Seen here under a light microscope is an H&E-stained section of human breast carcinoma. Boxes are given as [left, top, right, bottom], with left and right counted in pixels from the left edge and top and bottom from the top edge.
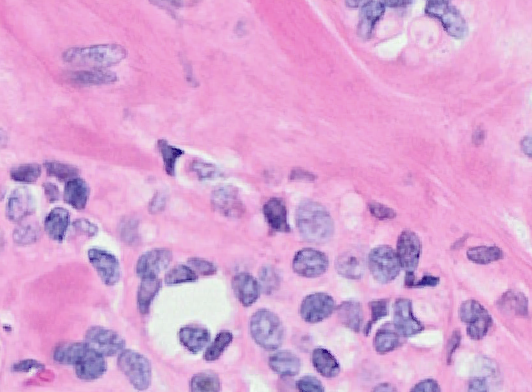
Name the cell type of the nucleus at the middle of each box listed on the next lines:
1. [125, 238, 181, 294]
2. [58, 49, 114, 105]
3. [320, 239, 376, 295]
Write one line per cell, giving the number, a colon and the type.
1: carcinoma cell
2: endothelial cell
3: carcinoma cell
